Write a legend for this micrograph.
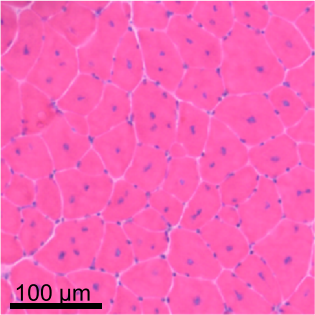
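The fibres are large and polygonal, fitting closely together with only thin pale borders between them. Many fibres contain a dark purple, rounded nucleus lying in the centre of the fibre rather than under its edge. A few small nuclei sit in the narrow spaces between fibres. The cytoplasm of the fibres is evenly pink and smooth.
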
